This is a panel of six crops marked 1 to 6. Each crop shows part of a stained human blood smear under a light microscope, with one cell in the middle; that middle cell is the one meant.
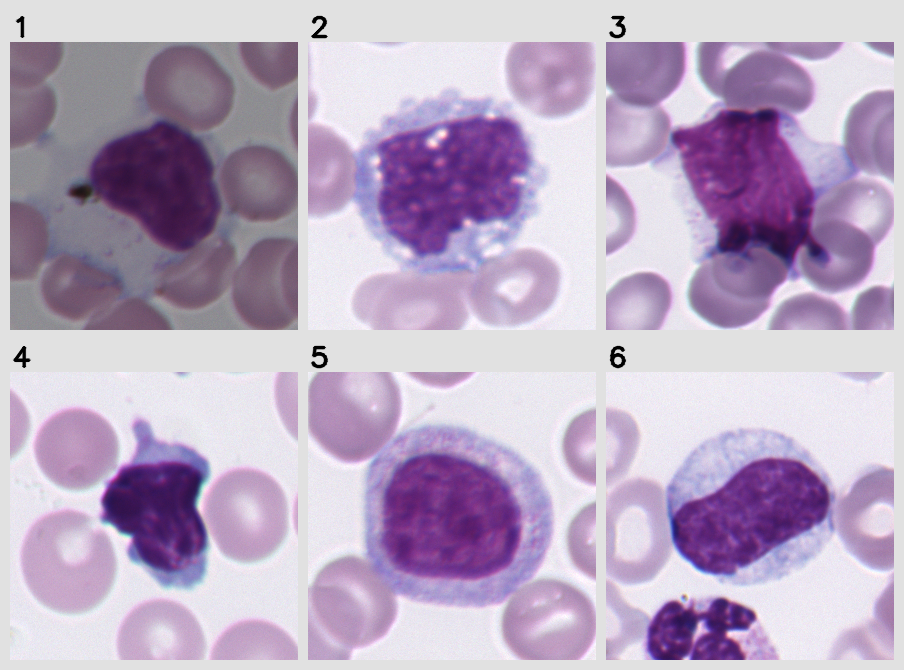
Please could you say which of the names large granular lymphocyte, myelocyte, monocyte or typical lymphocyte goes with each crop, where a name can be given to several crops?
1: large granular lymphocyte
2: monocyte
3: large granular lymphocyte
4: typical lymphocyte
5: myelocyte
6: monocyte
